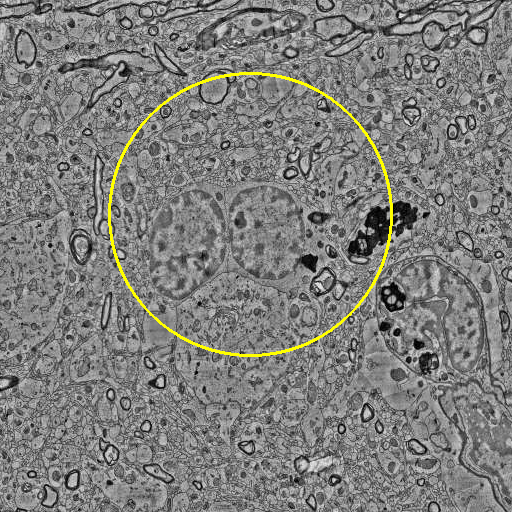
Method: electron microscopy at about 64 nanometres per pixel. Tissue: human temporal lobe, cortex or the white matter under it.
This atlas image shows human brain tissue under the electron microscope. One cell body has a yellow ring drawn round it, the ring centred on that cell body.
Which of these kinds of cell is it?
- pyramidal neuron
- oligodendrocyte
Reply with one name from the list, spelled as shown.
oligodendrocyte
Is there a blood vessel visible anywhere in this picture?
Yes, a vessel shows somewhere in the image.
